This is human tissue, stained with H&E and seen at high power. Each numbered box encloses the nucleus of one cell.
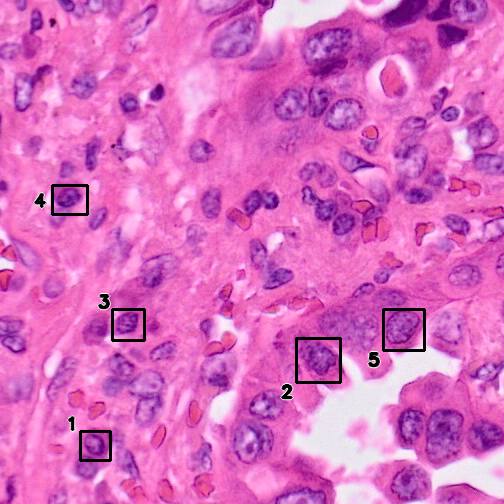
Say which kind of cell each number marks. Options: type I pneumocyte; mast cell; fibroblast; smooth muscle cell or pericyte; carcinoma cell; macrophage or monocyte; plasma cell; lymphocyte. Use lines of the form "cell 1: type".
cell 1: plasma cell
cell 2: carcinoma cell
cell 3: plasma cell
cell 4: plasma cell
cell 5: carcinoma cell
